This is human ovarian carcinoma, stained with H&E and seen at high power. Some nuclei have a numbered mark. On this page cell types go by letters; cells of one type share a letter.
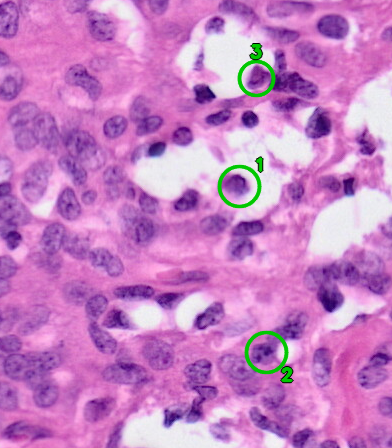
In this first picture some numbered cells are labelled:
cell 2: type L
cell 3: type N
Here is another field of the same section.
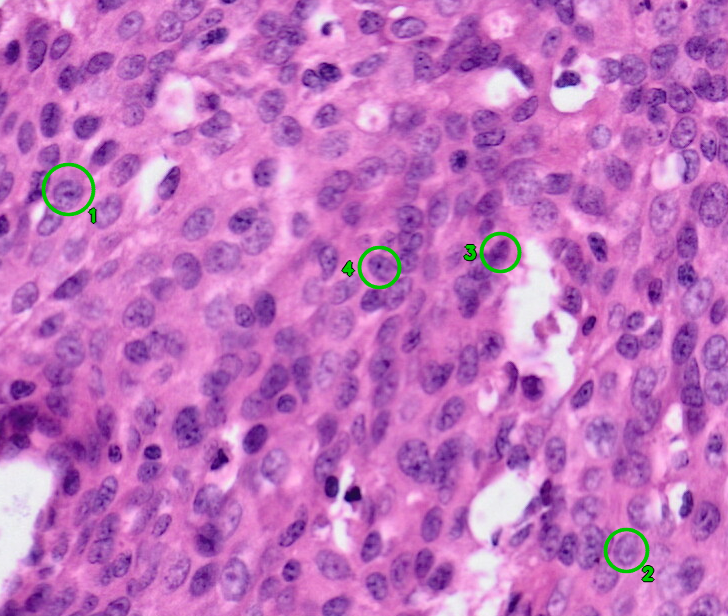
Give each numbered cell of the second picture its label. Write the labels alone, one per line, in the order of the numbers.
type N
type N
type N
type L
